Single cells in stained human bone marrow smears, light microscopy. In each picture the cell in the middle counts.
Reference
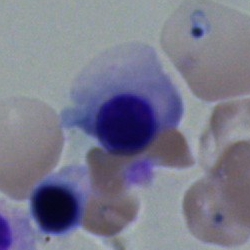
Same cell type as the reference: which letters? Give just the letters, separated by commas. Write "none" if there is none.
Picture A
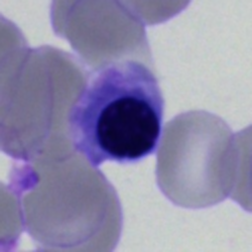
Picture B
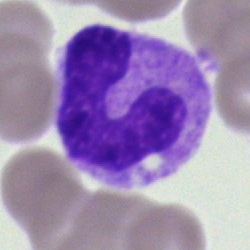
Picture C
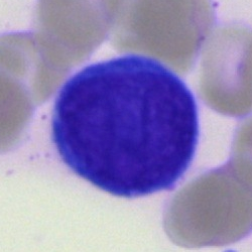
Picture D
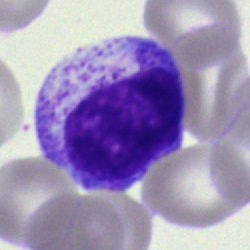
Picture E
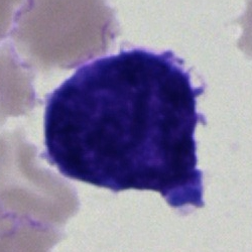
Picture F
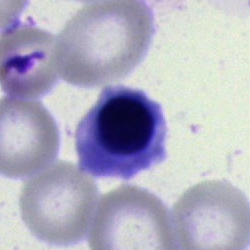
A, F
